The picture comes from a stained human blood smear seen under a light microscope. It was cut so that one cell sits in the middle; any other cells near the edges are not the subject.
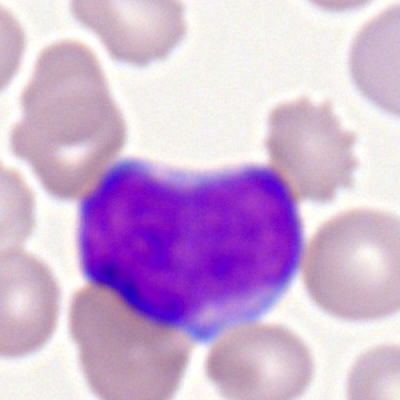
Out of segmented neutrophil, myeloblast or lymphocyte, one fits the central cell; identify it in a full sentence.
This crop's central cell is a myeloblast.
